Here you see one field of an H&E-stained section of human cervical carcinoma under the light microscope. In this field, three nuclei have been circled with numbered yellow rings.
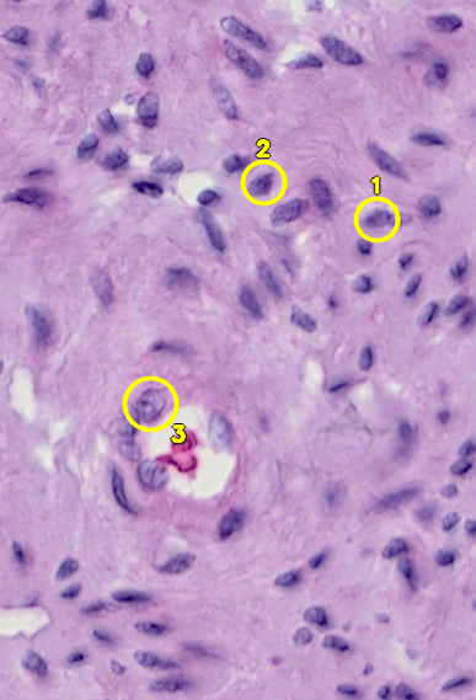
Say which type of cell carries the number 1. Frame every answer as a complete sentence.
The cell identified by the number 1 is a fibroblast.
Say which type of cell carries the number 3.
Cell 3 should be recorded as an endothelial cell.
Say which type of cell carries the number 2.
Among the marked cells, number 2 is a fibroblast.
